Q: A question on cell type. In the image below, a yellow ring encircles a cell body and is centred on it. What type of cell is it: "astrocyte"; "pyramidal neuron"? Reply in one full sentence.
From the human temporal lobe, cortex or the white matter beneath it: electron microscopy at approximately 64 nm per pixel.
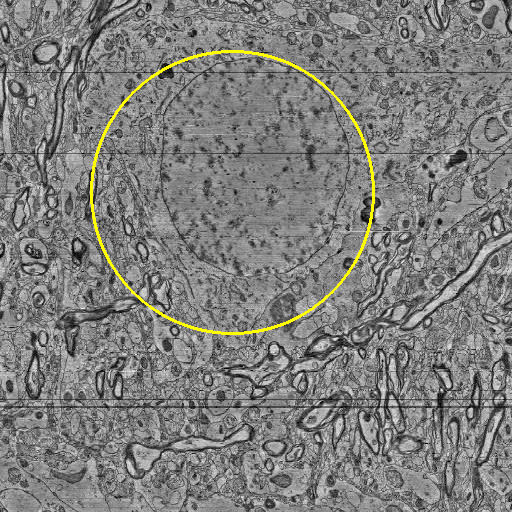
It is a pyramidal neuron whose cell body sits at the centre of the yellow ring in the image.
